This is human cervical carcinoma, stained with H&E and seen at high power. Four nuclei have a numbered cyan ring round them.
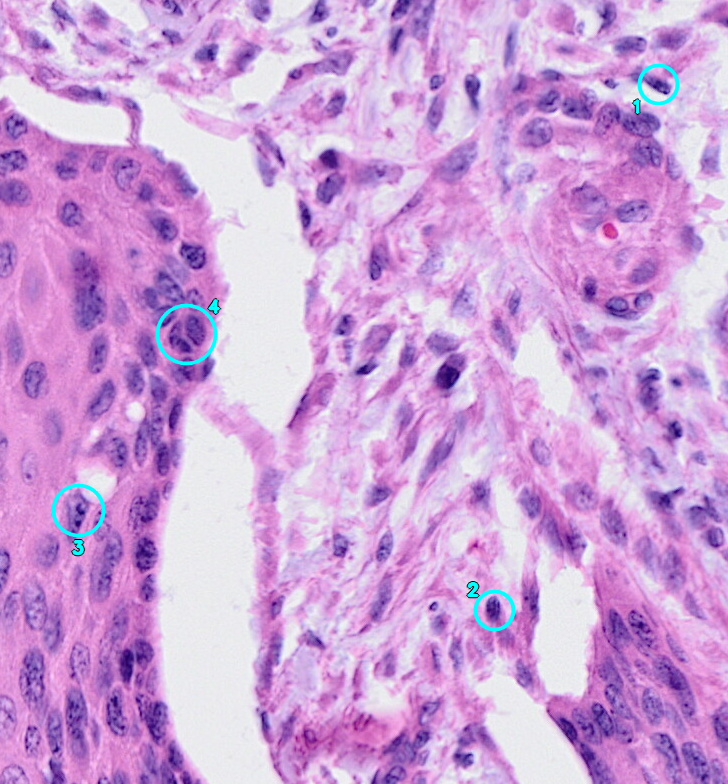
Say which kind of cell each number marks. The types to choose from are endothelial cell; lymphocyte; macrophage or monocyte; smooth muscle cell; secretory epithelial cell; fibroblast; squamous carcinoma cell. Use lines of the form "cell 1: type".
cell 1: lymphocyte
cell 2: lymphocyte
cell 3: squamous carcinoma cell
cell 4: squamous carcinoma cell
